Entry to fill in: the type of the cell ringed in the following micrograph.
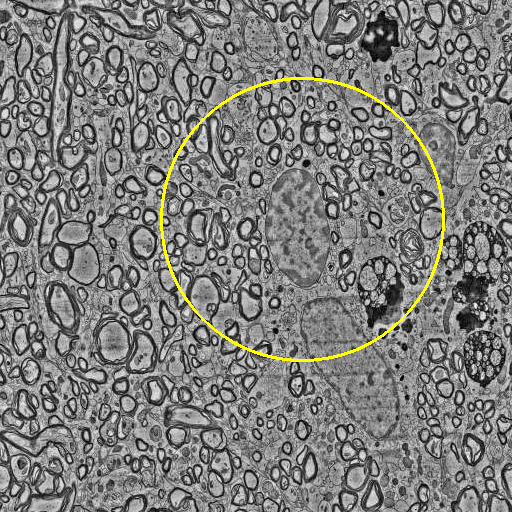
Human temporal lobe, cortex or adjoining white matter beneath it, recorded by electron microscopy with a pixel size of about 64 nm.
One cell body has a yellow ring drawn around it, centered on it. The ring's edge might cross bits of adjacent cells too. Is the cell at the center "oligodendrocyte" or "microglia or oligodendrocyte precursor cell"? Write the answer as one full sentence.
This entry names a microglial cell or oligodendrocyte precursor cell as the cell whose body lies at the ring's center.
